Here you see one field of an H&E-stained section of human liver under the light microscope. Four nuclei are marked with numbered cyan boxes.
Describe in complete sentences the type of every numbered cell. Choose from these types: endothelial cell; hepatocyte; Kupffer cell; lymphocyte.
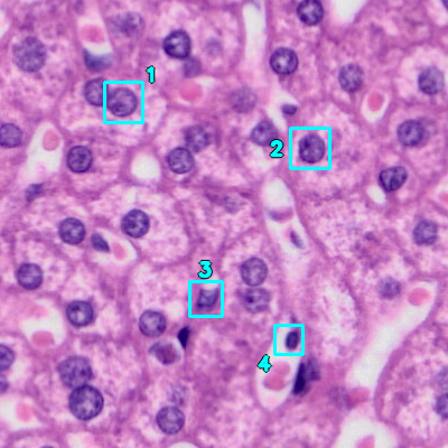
Cell 1 is a hepatocyte, cell 2 is a hepatocyte, cell 3 is an endothelial cell and cell 4 is a lymphocyte.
